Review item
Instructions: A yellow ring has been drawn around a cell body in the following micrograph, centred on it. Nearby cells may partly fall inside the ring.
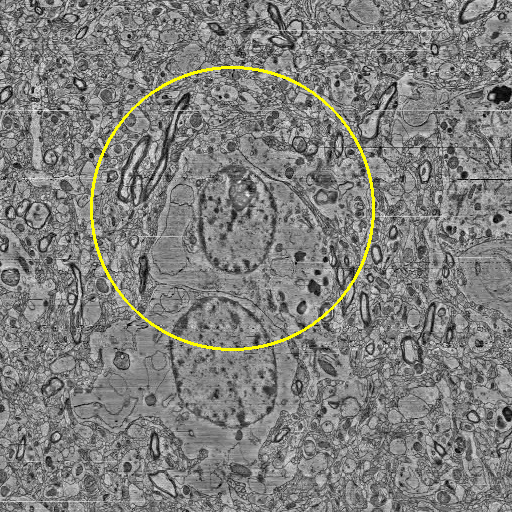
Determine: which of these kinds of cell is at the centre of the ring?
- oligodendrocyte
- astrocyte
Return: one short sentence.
The cell body in the middle of the ring is that of an astrocyte.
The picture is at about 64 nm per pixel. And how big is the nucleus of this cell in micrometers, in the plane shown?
In this plane, the nucleus of the cell at the centre of the ring measures about 7 by 5 micrometres.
